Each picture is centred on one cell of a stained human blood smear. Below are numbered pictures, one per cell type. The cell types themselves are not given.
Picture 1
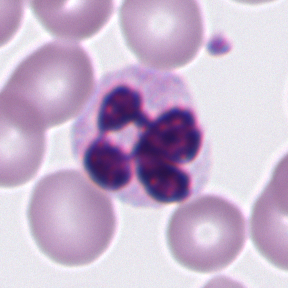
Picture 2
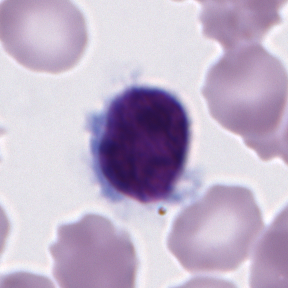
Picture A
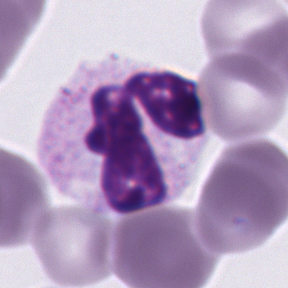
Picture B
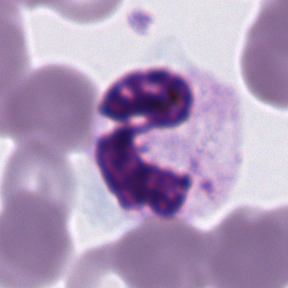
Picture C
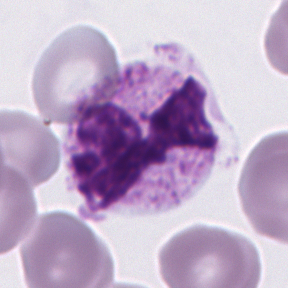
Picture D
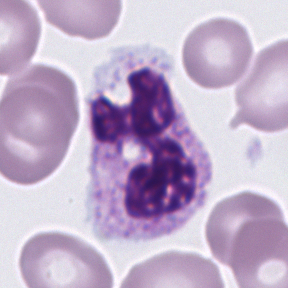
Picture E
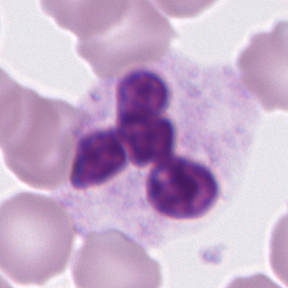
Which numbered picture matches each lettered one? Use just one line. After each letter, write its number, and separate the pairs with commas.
A 1, B 1, C 1, D 1, E 1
